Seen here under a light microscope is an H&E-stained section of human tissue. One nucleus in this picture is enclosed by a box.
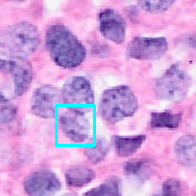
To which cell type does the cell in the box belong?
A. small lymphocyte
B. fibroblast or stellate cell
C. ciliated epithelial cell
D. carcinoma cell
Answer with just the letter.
D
